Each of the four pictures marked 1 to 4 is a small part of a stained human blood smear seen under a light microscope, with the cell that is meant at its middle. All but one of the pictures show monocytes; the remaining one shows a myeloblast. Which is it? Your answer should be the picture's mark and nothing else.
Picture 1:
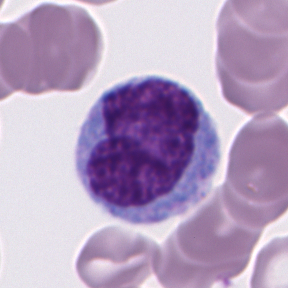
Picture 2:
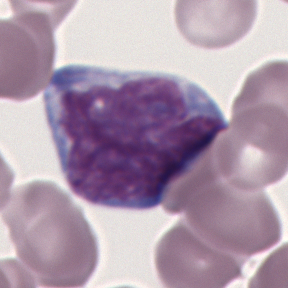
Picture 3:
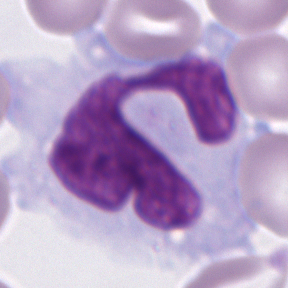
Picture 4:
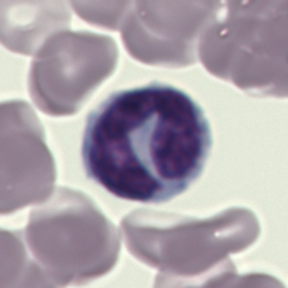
2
